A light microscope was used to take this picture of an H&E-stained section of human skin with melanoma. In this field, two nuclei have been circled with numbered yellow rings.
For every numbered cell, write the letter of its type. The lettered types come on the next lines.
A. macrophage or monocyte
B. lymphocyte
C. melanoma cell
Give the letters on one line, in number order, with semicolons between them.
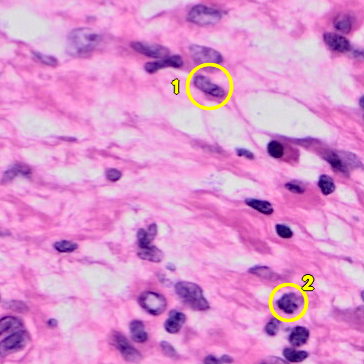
A; B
